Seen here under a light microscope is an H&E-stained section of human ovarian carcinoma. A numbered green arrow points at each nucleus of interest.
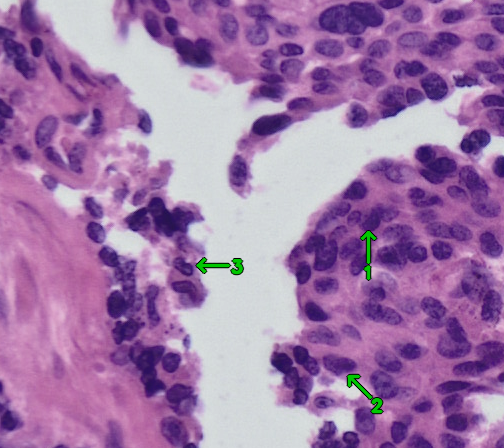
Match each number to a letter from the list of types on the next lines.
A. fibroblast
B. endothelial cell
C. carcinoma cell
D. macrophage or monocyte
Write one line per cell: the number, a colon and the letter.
1: C
2: C
3: D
